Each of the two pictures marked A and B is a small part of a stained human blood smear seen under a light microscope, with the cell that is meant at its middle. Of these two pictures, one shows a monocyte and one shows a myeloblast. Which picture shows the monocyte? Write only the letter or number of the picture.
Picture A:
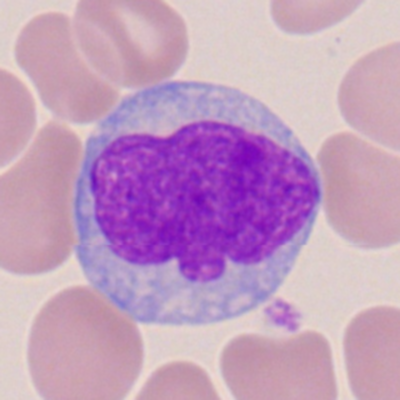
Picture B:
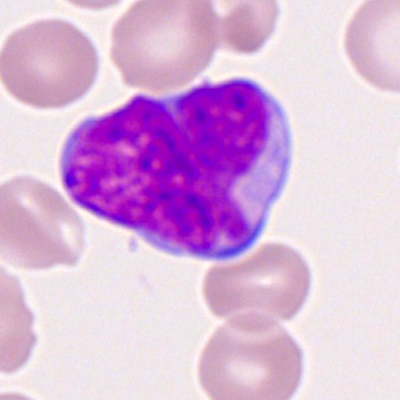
A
